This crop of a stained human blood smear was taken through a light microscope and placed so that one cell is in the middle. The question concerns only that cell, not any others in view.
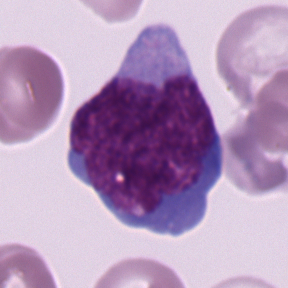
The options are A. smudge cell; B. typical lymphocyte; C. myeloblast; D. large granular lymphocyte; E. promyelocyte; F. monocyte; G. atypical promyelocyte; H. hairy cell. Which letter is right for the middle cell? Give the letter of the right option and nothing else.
C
